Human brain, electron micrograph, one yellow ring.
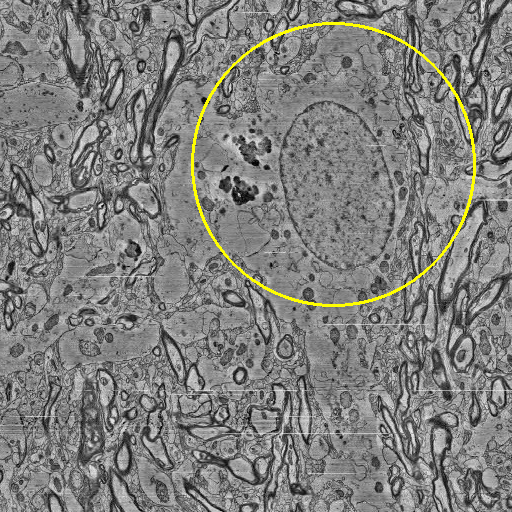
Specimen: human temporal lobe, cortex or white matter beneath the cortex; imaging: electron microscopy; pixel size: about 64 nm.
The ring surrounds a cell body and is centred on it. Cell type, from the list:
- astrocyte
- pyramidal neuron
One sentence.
The yellow ring circles an astrocyte.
